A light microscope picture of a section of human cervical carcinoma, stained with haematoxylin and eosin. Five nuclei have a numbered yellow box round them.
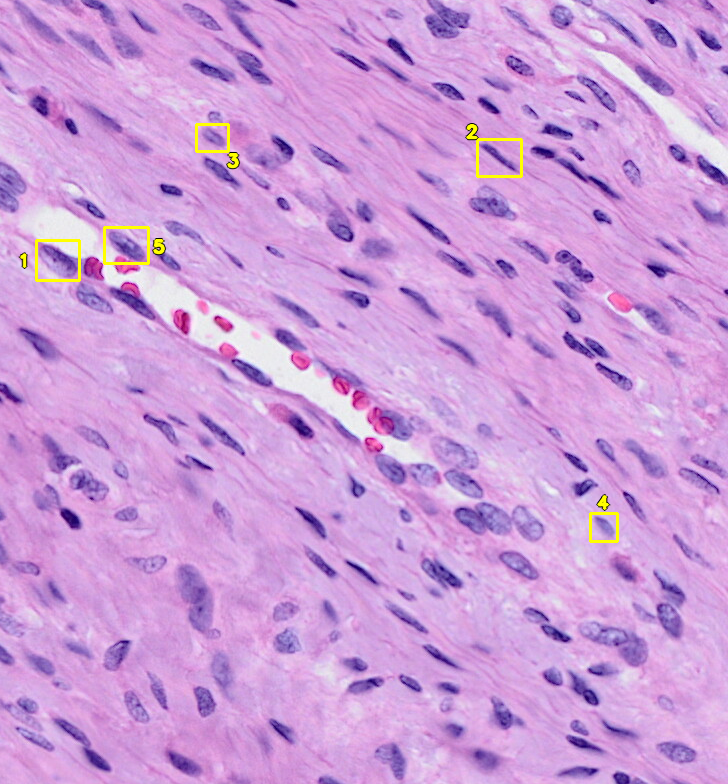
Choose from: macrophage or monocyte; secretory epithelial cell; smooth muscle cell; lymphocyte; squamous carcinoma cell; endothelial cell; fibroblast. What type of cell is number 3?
smooth muscle cell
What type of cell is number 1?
endothelial cell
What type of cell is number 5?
endothelial cell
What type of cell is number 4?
fibroblast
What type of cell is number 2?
fibroblast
